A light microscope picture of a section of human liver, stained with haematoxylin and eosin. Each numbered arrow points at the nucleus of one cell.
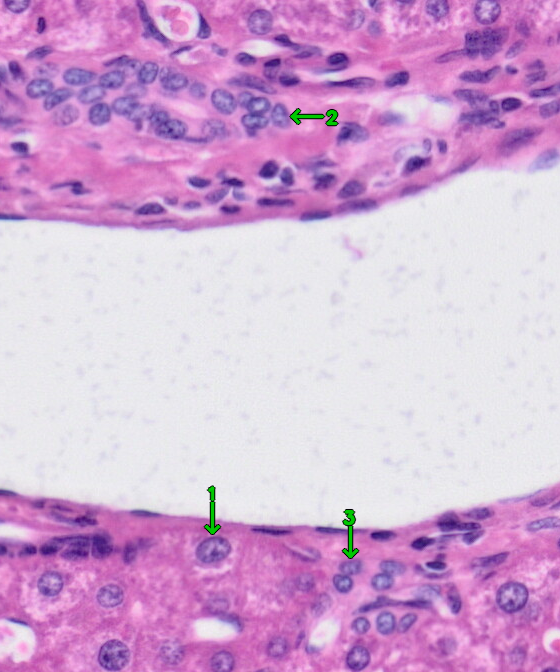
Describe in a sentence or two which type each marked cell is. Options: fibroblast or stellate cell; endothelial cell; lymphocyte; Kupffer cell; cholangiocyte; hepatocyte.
Cell 1 is a hepatocyte, cell 2 is a cholangiocyte and cell 3 is a cholangiocyte.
